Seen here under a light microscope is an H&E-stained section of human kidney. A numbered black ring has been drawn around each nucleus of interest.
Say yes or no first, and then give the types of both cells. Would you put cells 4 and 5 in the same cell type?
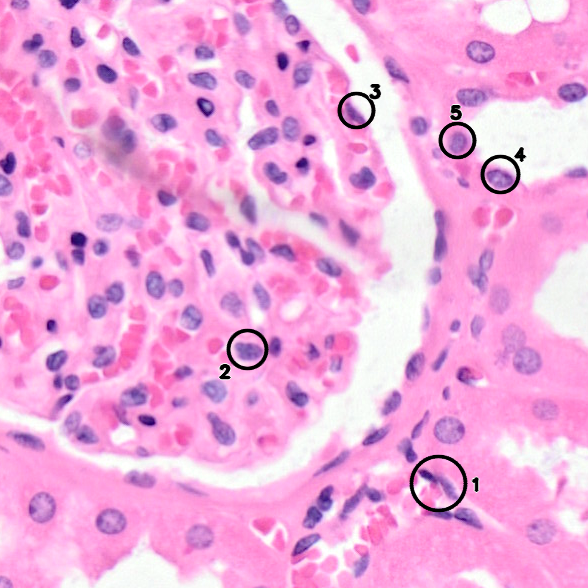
Yes, in this section cells 4 and 5 are both loop of Henle or distal tubule cells.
